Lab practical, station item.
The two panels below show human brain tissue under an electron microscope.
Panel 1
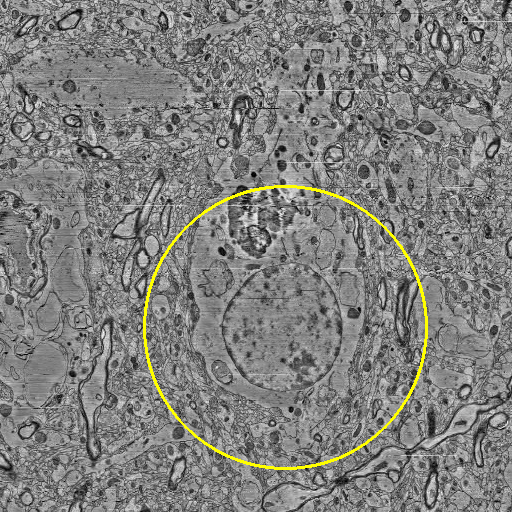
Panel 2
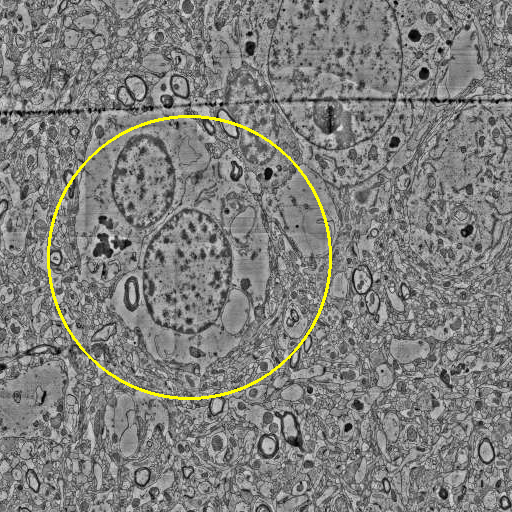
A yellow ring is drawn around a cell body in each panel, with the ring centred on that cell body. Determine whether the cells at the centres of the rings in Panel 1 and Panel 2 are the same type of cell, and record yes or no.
yes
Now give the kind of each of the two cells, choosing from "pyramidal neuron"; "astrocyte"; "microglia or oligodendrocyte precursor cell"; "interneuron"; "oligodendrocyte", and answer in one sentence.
Each of the two rings is centred on an astrocyte.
